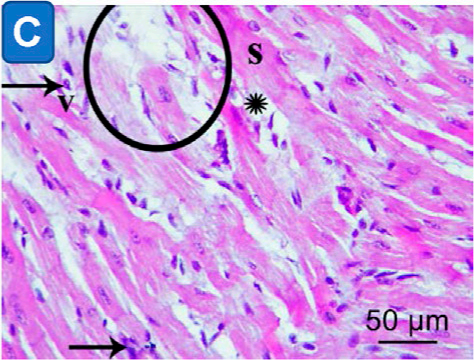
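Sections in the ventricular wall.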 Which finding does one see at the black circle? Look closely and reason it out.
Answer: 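Degenerated muscle fibers. Inside the circle the fibers are pale and frayed. Pink staining inside the circle is patchy with clear spaces.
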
